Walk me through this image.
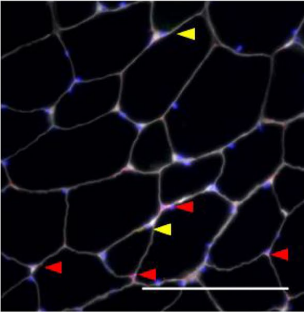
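This is a cross-section of muscle in which each fibre is a dark polygon outlined by a thin white border. Blue nuclei lie along the fibre edges and in the narrow spaces where several fibres meet. The red and yellow arrowheads point to small cells sitting in these spaces between fibres, with faint red staining around their nuclei, rather than inside the fibres themselves.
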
